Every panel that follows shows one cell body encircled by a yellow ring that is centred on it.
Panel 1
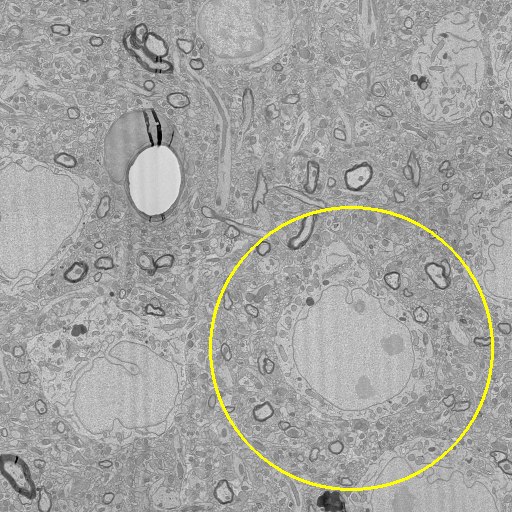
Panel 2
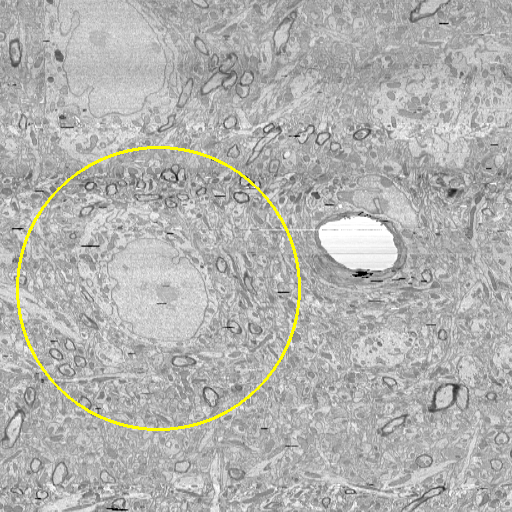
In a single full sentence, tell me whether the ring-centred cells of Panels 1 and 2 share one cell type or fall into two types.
In Panel 1 and Panel 2, the cells at the ring centres fall into two types.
